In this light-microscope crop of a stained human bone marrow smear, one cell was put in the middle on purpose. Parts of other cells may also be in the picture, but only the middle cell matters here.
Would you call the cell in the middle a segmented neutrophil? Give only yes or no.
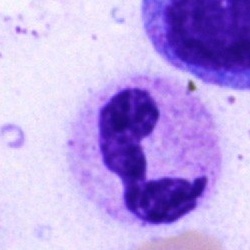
yes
